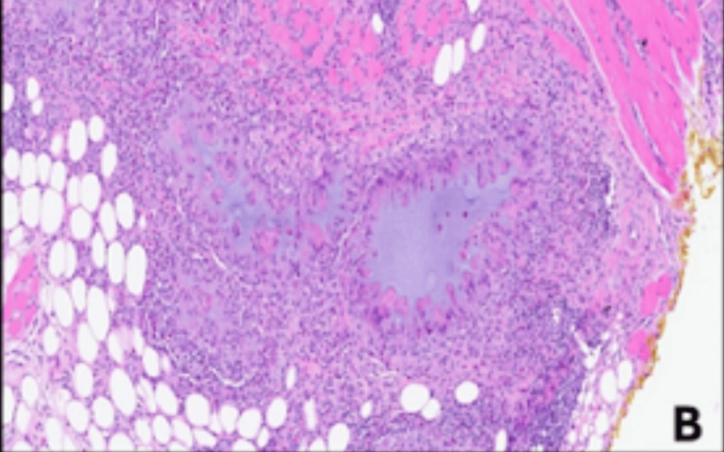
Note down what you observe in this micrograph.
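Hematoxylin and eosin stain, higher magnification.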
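A nodule sits within fat: its center is a pale violet, homogeneous, amorphous deposit with jagged edges, and around it lies a thick rim of histiocytes and giant cells with pink cytoplasm. Beyond this rim the fat cells show as clear round spaces.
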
